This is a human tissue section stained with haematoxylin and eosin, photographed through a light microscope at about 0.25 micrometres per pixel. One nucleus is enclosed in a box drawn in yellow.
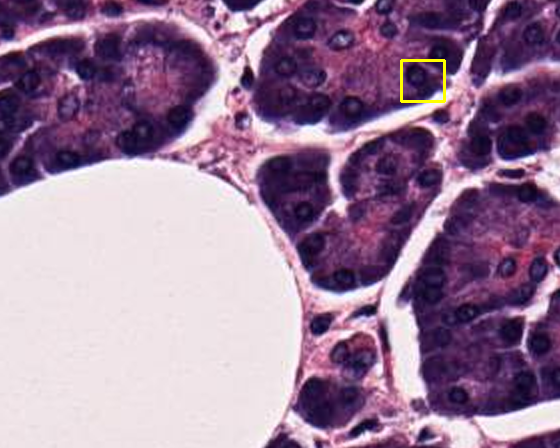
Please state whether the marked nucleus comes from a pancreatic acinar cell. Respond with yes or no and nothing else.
yes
